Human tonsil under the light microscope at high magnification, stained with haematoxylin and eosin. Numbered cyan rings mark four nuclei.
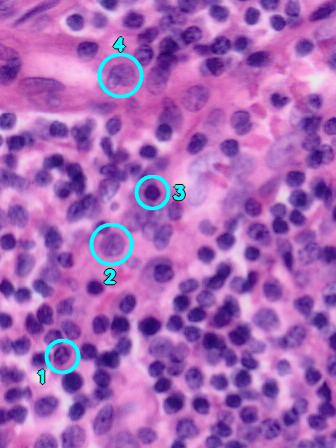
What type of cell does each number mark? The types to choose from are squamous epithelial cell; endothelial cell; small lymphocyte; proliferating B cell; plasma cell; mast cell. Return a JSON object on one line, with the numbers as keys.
{"1": "plasma cell", "2": "endothelial cell", "3": "endothelial cell", "4": "endothelial cell"}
